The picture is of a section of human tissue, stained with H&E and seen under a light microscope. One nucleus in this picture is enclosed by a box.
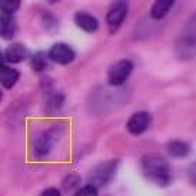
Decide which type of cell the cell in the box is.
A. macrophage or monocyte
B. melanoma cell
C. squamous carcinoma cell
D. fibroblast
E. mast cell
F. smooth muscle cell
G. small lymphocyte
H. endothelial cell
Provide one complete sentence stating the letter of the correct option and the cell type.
Option H is accurate, for the cell in the box is an endothelial cell.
